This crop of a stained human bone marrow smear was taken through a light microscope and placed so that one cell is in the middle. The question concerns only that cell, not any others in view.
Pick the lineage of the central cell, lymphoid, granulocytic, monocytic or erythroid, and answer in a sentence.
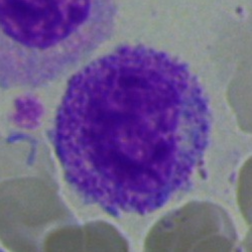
The cell at the center is a representative of the granulocytic lineage.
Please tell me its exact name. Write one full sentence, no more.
The target cell in the middle of the crop is a myelocyte.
